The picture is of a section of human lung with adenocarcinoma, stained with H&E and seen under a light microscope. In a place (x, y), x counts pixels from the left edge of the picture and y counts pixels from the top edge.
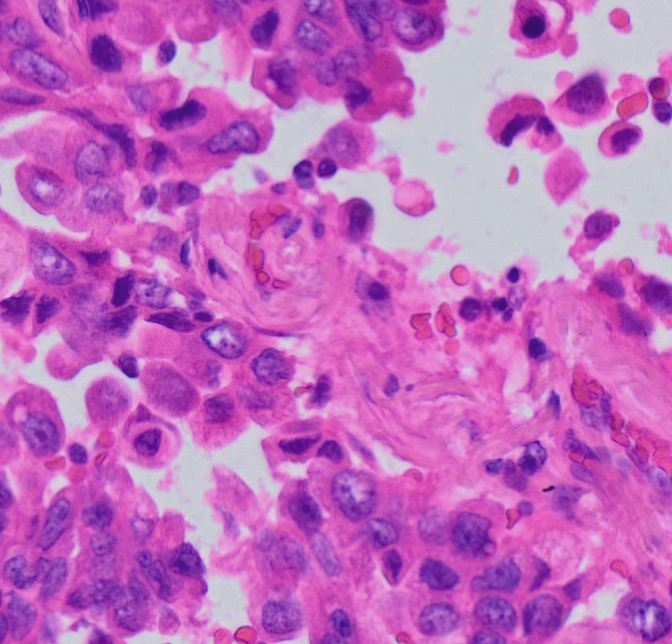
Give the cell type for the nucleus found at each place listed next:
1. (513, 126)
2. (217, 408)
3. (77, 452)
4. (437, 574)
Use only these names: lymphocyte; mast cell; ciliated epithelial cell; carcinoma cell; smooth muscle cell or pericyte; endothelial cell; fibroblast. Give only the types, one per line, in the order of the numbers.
carcinoma cell
carcinoma cell
lymphocyte
carcinoma cell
